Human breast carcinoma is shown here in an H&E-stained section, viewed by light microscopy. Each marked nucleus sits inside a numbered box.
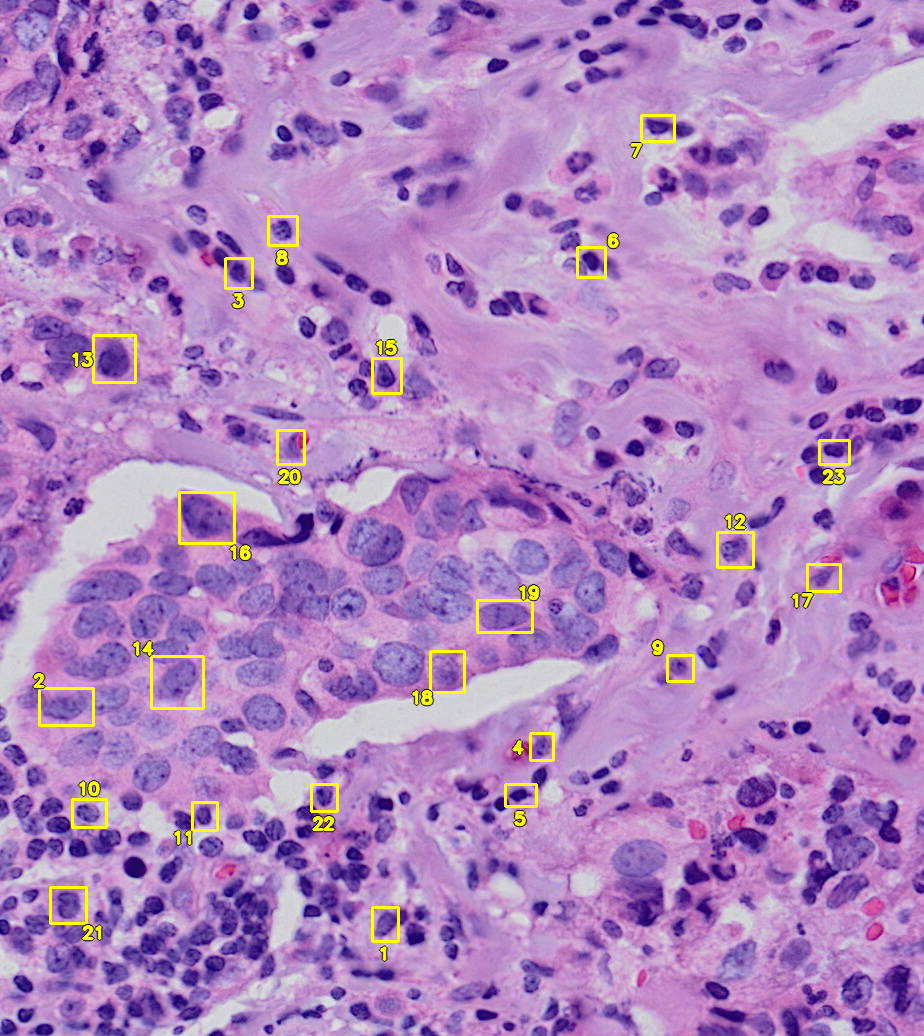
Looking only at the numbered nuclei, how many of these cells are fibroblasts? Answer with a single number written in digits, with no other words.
0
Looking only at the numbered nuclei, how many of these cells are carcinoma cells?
6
